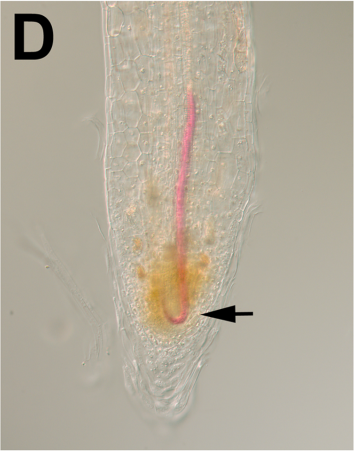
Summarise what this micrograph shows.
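This is the tip of a root seen in clear, nearly colourless tissue, with the root cap at the bottom and the meristem of small, densely packed cells just behind it. Further up, the cells are longer and lie in files. A slender, bright red-stained worm-like body runs lengthwise down the centre of the root and bends at its lower end within the meristem. Around this bend, a patch of meristem cells is coloured orange-brown and looks darker and less clear than the surrounding cells, marking necrotic tissue. The outer cap cells remain pale and loose.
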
